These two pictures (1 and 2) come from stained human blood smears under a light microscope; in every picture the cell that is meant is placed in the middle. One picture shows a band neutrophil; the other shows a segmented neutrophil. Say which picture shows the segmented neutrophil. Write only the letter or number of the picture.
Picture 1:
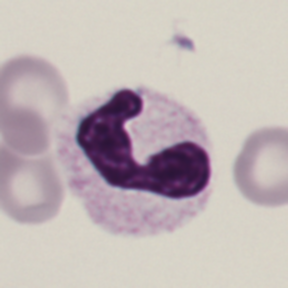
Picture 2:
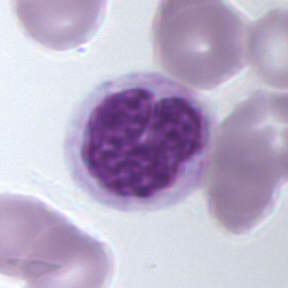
1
